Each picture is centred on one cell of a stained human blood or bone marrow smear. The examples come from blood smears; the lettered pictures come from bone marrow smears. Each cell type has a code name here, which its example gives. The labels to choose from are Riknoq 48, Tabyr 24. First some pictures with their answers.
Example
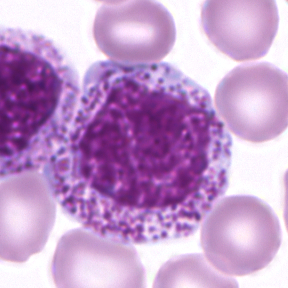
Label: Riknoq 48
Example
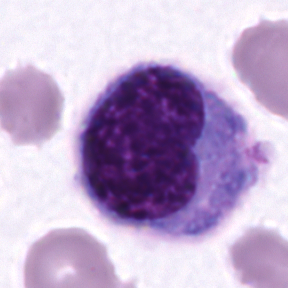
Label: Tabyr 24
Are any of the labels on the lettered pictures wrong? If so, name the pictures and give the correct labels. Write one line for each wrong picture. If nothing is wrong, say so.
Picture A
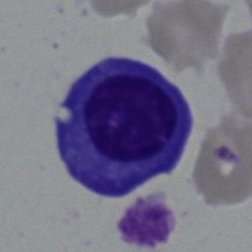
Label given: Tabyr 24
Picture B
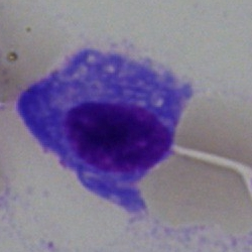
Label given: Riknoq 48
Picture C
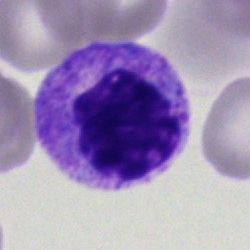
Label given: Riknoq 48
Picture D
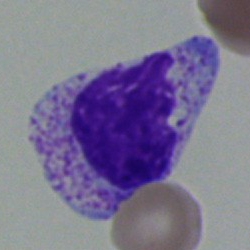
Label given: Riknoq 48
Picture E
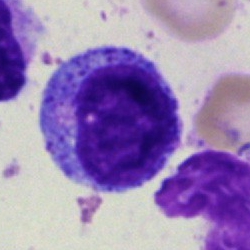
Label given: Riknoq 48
B is labelled Riknoq 48; correct label: Tabyr 24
